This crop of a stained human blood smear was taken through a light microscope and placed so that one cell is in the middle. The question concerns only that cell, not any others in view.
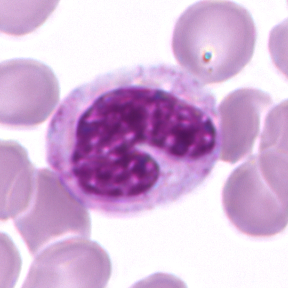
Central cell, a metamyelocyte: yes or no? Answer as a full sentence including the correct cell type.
No, the correct answer for the middle cell is a band neutrophil, not a metamyelocyte.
